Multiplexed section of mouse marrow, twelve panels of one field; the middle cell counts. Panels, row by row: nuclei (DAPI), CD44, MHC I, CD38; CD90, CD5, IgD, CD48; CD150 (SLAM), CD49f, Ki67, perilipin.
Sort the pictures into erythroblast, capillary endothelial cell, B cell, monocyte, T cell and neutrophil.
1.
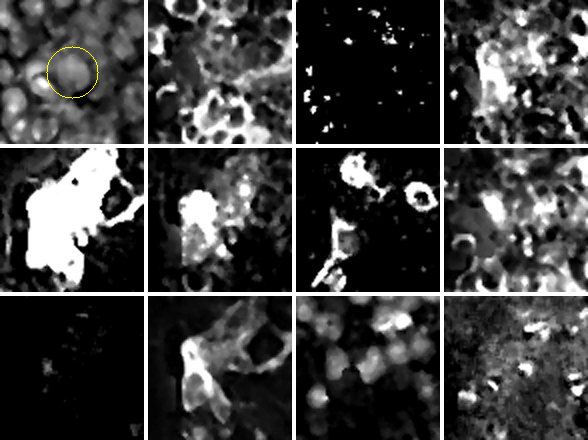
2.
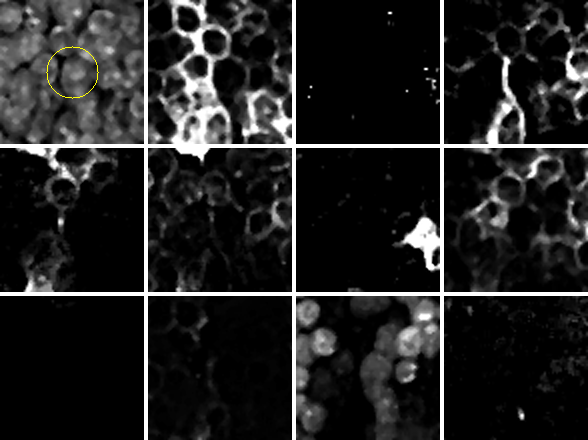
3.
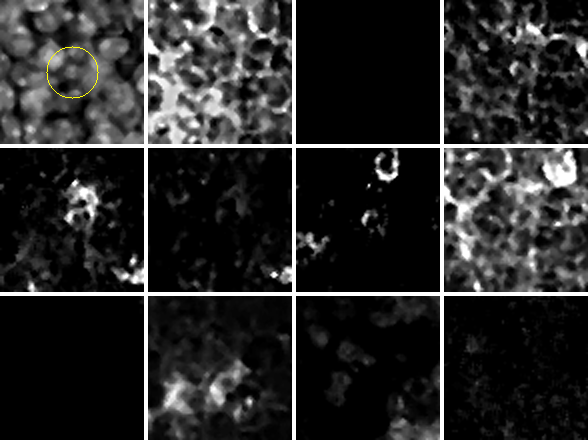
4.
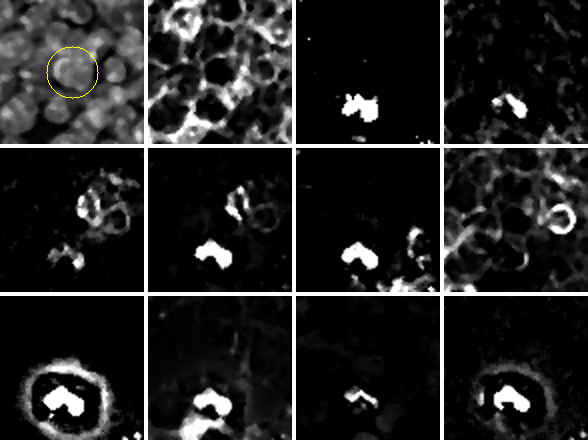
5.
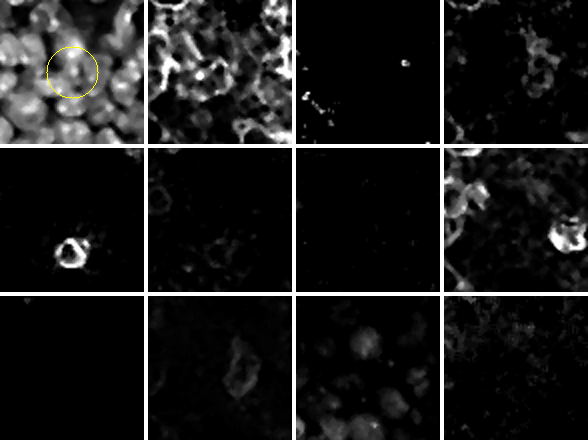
T cells: 1
Capillary endothelial cells: 2
Neutrophils: 3, 5
Erythroblasts: 4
